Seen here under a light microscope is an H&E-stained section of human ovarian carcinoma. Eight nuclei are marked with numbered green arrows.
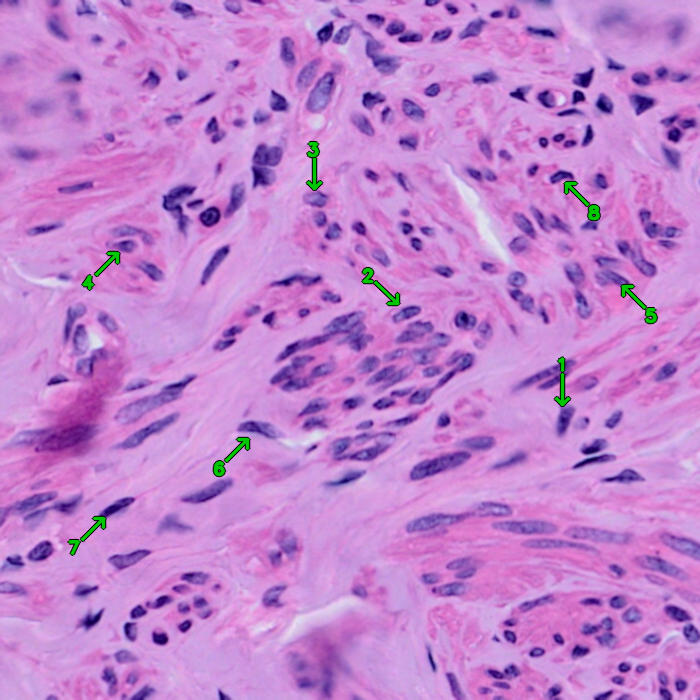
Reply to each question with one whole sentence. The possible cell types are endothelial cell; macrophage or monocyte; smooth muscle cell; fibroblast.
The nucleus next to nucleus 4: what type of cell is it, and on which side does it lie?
A smooth muscle cell lies closest, above nucleus 4.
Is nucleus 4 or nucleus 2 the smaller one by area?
Nucleus 4 covers less area, with nucleus 2 about 1.5 times as large.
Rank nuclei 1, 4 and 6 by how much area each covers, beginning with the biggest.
By area, largest first, they run 6, 1, 4.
